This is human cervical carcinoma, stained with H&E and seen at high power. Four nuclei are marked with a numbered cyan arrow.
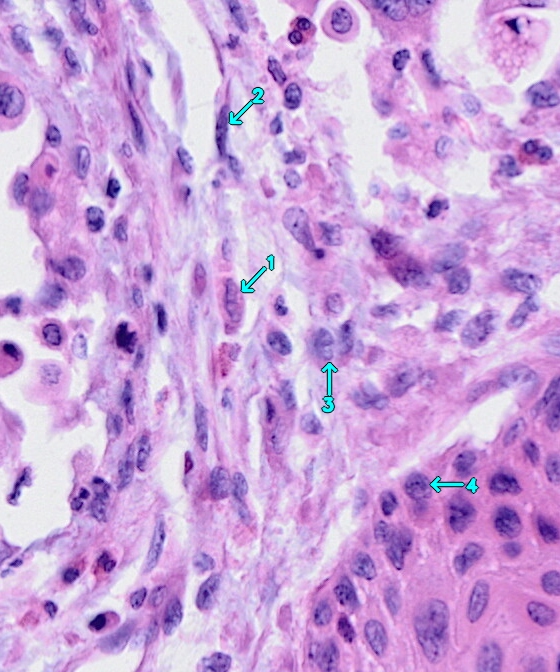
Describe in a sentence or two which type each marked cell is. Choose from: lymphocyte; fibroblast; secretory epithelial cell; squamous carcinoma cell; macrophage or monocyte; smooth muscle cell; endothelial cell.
Cell 1 is a macrophage or monocyte, cell 2 is a fibroblast, cell 3 is a fibroblast and cell 4 is a squamous carcinoma cell.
